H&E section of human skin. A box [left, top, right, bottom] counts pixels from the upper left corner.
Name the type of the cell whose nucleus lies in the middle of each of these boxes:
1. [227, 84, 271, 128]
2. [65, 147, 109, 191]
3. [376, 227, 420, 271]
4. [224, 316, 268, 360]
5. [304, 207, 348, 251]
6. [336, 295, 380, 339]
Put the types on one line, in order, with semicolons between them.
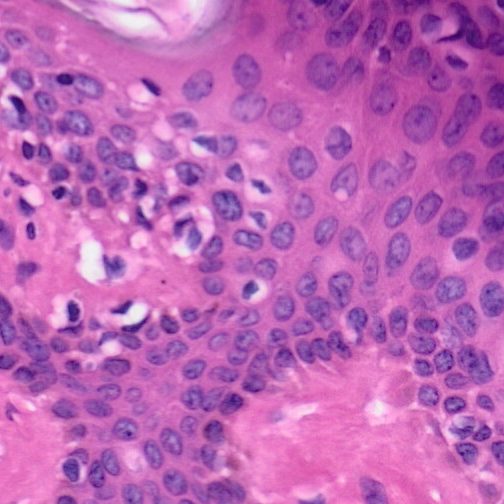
suprabasal keratinocyte; basal keratinocyte; suprabasal keratinocyte; suprabasal keratinocyte; suprabasal keratinocyte; basal keratinocyte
